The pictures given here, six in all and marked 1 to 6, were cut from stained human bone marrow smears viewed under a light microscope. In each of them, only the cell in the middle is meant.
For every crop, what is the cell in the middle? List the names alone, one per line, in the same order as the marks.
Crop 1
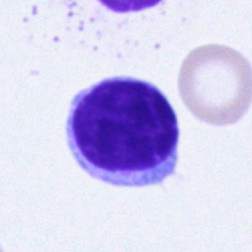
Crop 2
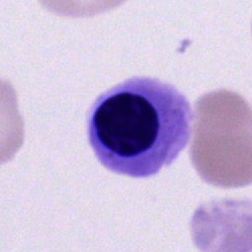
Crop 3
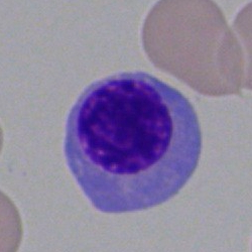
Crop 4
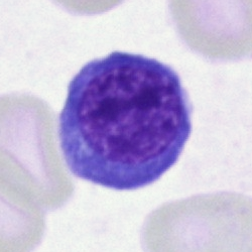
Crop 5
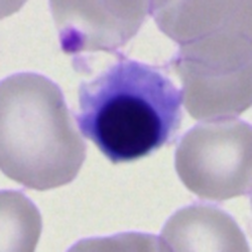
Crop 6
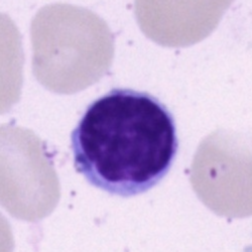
lymphocyte
normoblast
normoblast
normoblast
normoblast
lymphocyte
